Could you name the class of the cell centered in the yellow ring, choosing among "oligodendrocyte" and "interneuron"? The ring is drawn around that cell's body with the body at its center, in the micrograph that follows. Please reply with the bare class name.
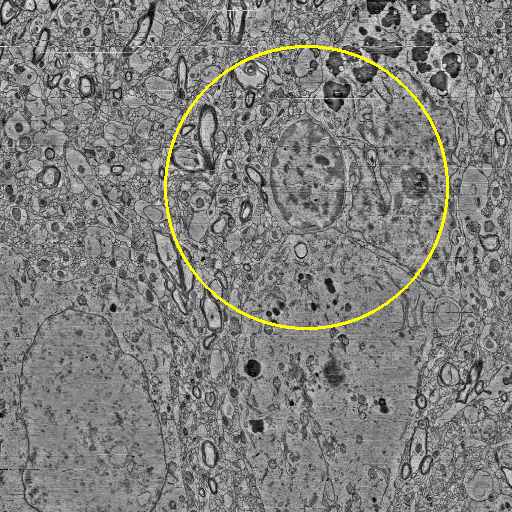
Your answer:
oligodendrocyte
